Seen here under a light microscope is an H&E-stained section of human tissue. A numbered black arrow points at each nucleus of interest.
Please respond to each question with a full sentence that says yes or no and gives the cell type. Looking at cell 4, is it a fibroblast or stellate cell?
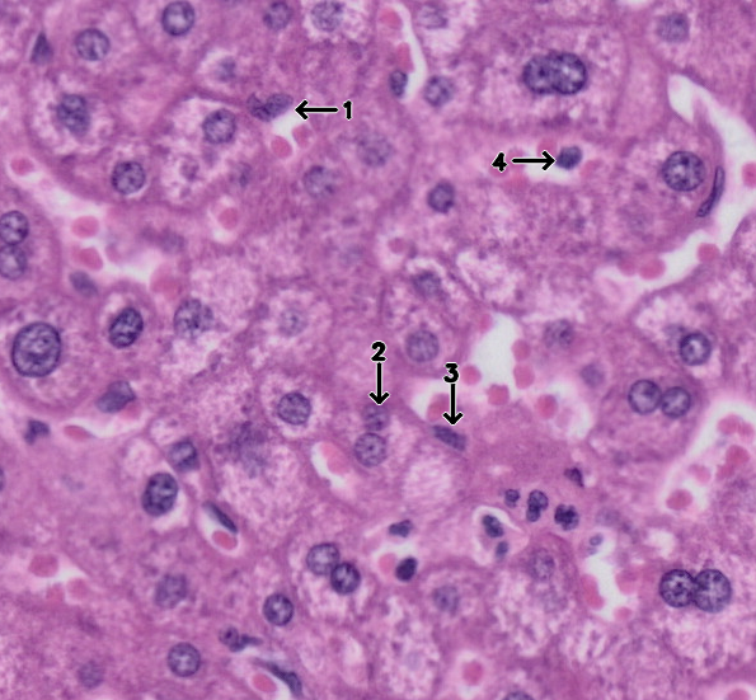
No, the cell bearing number 4 is not a fibroblast or stellate cell but a lymphocyte.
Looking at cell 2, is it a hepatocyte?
Yes, in this section the cell with number 2 is a hepatocyte.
